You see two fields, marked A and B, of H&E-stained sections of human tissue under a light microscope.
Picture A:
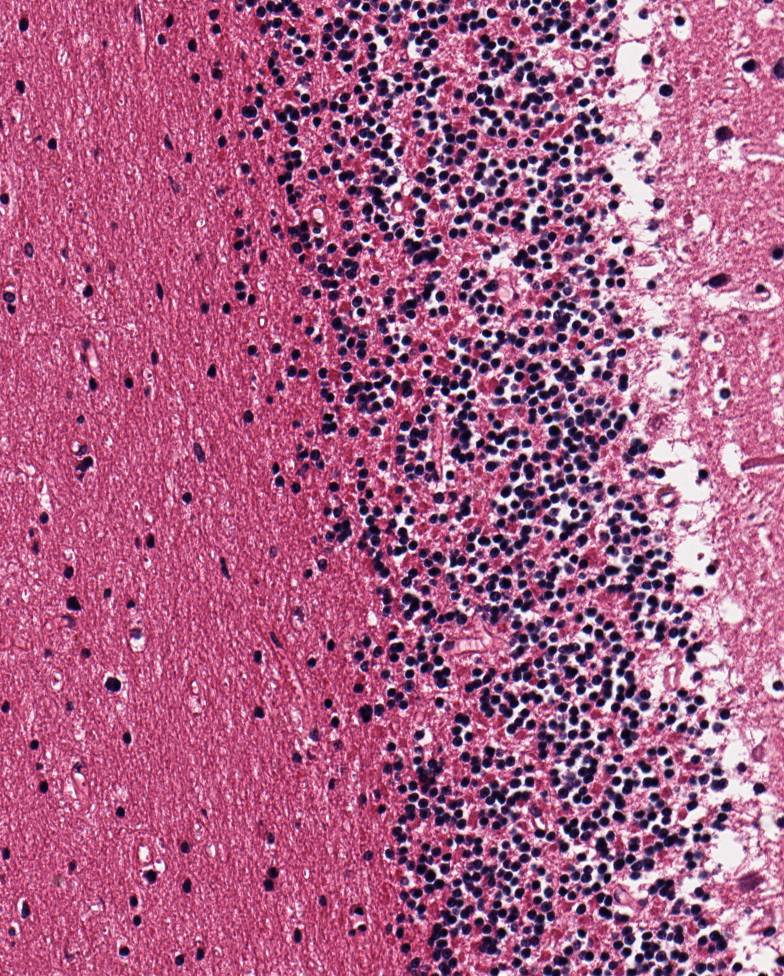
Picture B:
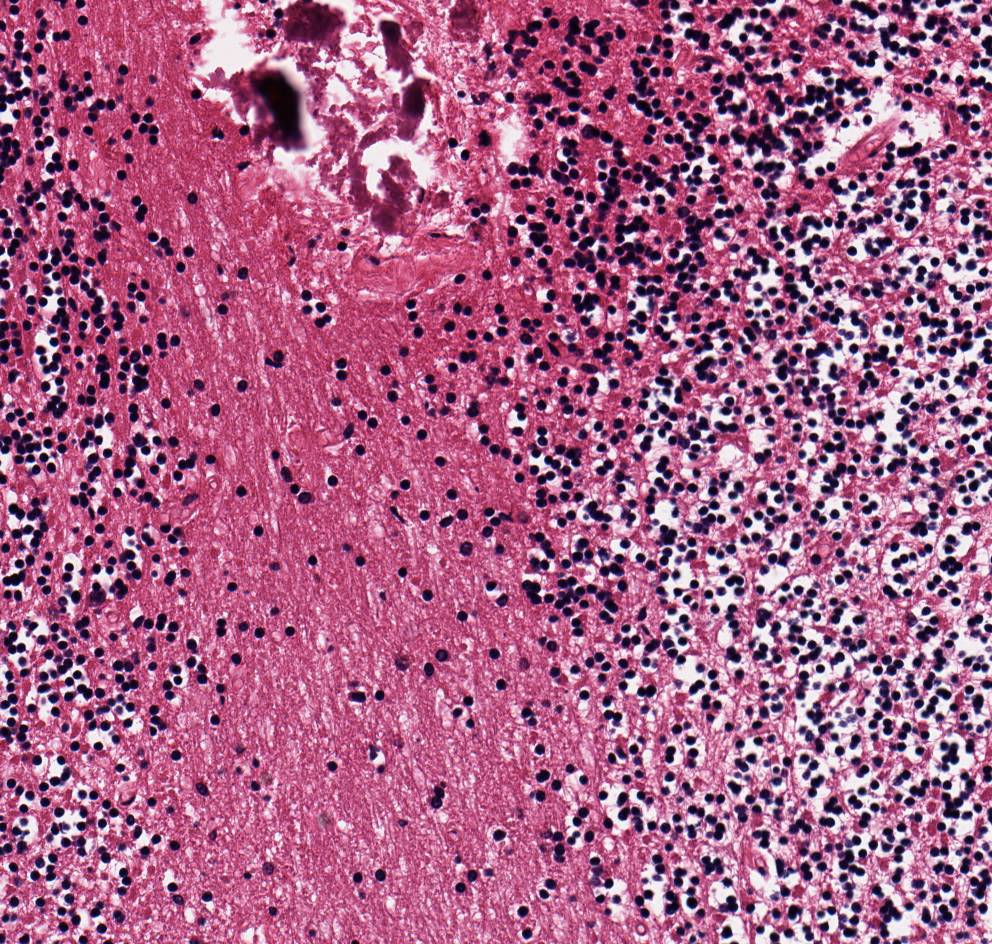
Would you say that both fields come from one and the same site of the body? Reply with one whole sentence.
Yes; both pictures come from the cerebellum.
